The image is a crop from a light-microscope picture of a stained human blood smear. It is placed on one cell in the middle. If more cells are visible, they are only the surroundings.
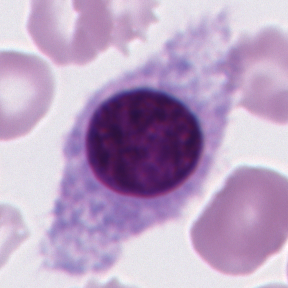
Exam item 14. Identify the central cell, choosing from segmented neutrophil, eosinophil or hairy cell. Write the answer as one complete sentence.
By classification, the middle cell of this crop is a hairy cell.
